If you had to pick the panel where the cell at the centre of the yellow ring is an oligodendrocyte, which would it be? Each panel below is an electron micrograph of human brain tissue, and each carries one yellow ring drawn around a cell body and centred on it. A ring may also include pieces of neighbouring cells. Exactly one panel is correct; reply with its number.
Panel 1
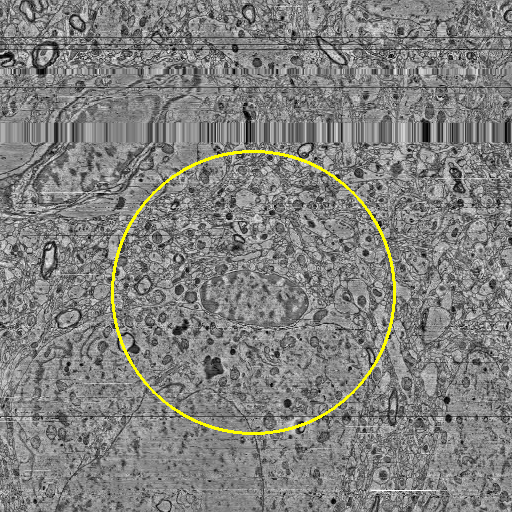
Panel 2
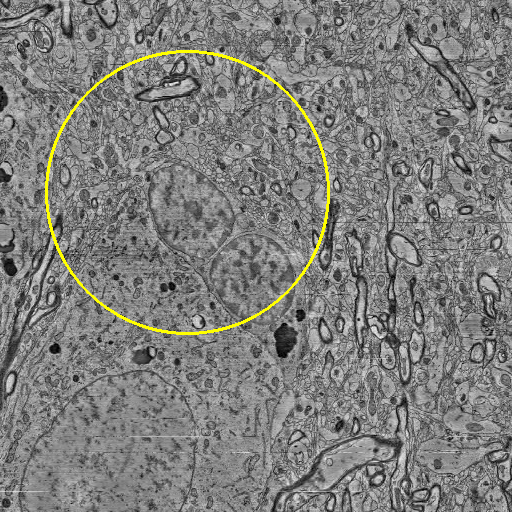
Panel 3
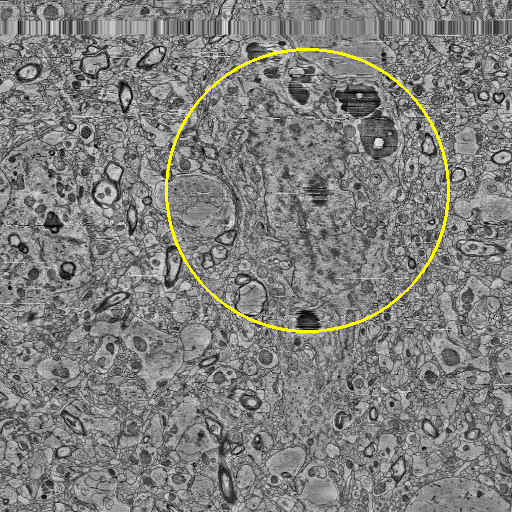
2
